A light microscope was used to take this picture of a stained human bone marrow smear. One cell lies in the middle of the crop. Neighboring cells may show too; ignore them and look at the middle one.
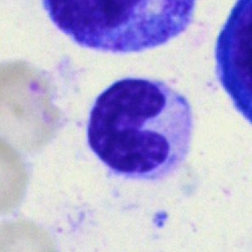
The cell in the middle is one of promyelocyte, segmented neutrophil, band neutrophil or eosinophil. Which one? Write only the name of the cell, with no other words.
band neutrophil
